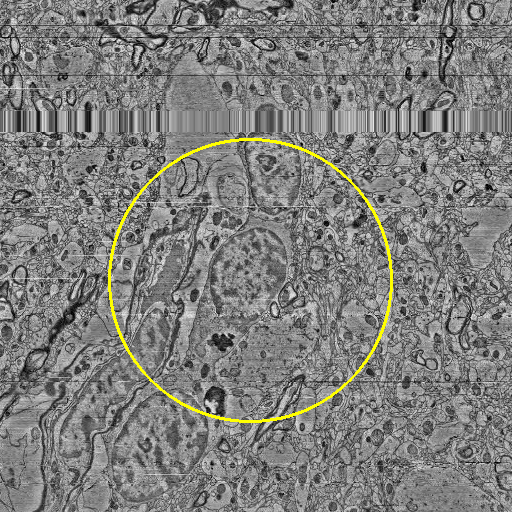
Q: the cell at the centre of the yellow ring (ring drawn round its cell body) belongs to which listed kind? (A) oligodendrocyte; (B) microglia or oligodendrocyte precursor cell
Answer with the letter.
A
